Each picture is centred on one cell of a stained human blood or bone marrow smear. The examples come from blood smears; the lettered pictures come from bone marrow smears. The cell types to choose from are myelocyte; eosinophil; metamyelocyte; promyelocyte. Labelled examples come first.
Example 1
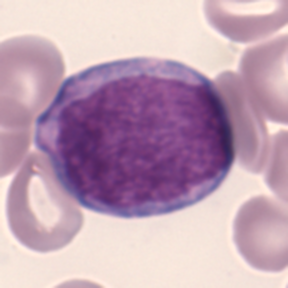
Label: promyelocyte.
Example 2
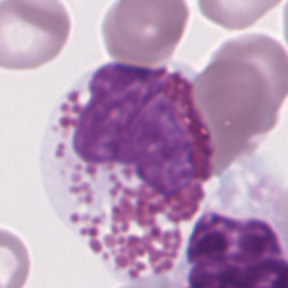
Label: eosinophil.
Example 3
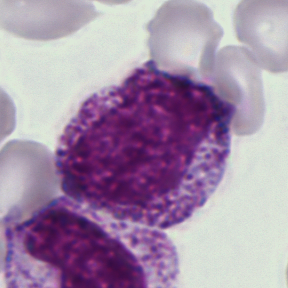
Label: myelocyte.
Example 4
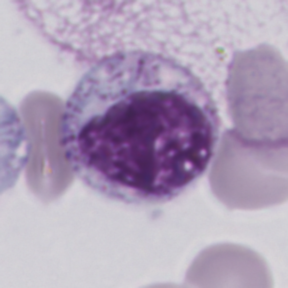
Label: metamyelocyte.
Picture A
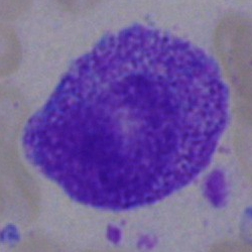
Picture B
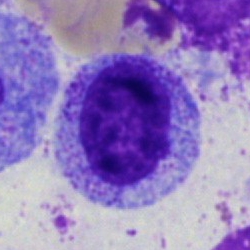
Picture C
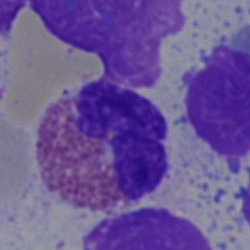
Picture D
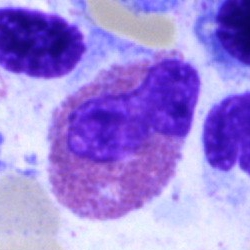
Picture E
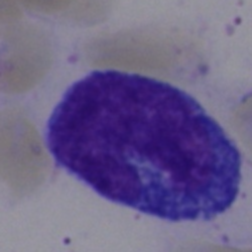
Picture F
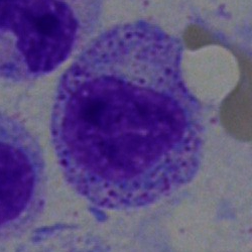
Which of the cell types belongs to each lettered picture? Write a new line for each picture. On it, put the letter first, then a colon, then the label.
A: myelocyte.
B: myelocyte.
C: eosinophil.
D: eosinophil.
E: promyelocyte.
F: myelocyte.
